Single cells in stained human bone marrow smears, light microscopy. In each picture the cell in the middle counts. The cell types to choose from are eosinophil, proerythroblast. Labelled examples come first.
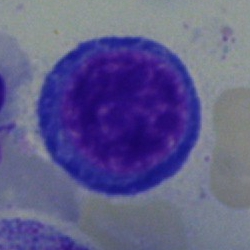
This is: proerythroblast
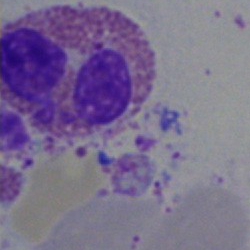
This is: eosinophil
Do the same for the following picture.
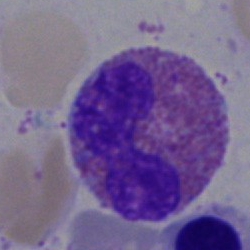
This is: eosinophil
